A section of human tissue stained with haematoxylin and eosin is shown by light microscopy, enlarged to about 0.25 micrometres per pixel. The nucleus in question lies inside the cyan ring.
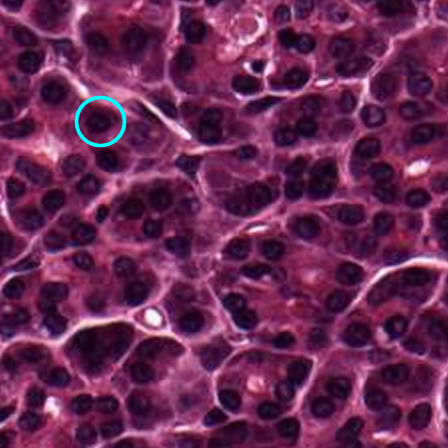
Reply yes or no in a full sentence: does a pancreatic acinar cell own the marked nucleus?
Yes, it is within a pancreatic acinar cell that the marked nucleus lies.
